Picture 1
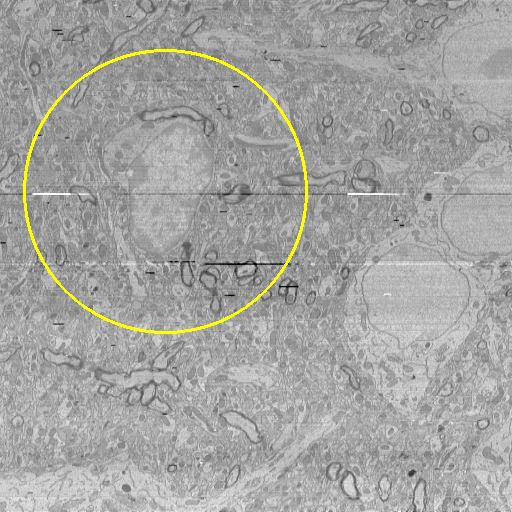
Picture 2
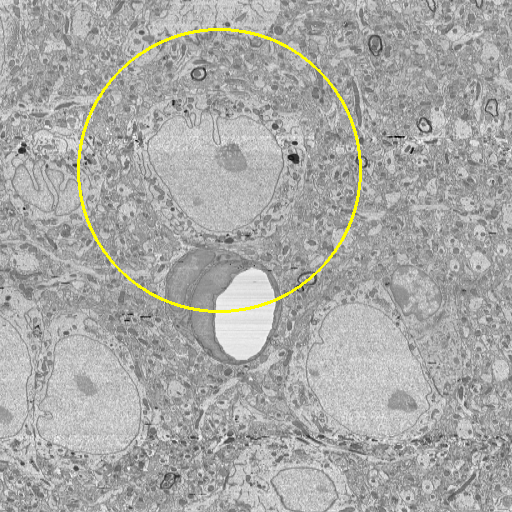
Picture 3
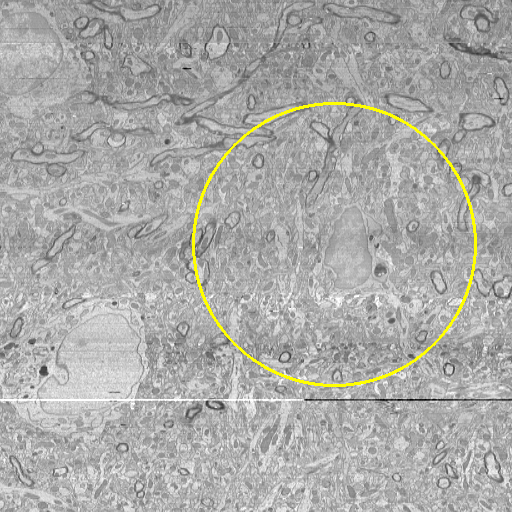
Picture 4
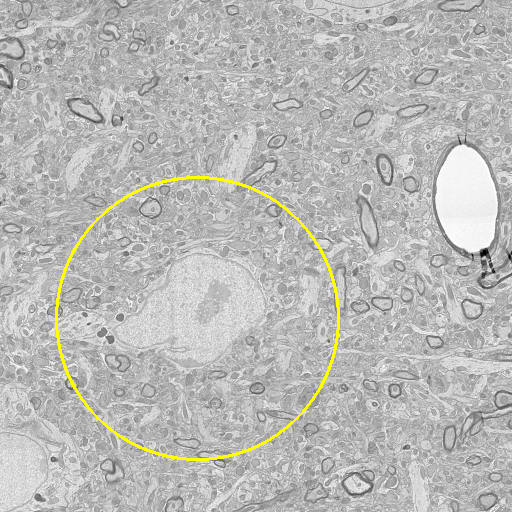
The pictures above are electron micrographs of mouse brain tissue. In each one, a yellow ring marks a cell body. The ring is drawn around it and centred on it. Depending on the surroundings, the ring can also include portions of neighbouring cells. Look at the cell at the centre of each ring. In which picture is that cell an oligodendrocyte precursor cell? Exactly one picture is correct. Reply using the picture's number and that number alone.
4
